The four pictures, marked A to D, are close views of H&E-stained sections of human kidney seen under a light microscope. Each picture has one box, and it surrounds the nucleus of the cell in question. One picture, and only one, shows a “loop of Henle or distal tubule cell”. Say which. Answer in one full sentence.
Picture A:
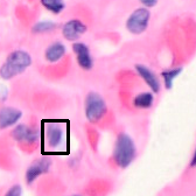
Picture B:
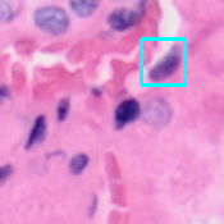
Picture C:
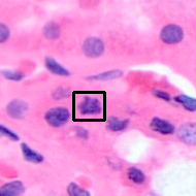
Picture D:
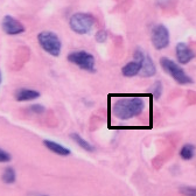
Picture C shows the “loop of Henle or distal tubule cell”.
